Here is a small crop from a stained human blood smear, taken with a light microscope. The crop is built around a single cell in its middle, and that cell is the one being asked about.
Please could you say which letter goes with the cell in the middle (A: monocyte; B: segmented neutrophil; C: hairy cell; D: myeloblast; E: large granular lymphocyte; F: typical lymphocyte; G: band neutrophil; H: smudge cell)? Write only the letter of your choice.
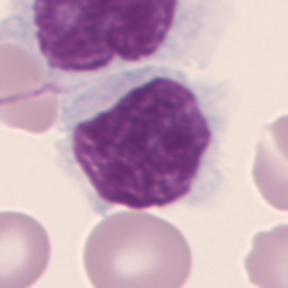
C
